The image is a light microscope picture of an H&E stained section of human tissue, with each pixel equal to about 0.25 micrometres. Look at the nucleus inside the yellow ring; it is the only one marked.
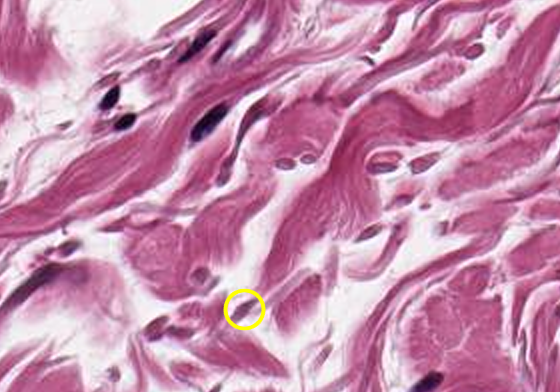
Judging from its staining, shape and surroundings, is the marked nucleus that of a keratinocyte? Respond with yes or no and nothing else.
no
